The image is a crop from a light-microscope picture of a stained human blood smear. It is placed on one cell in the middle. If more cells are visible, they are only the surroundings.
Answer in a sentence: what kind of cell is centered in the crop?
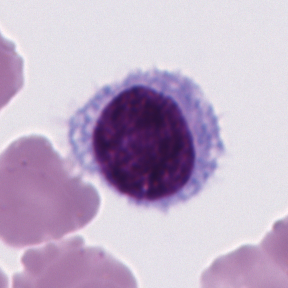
The cell marked by its central position in the crop is a hairy cell.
